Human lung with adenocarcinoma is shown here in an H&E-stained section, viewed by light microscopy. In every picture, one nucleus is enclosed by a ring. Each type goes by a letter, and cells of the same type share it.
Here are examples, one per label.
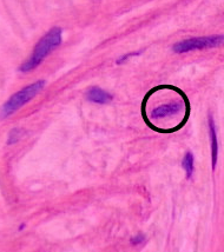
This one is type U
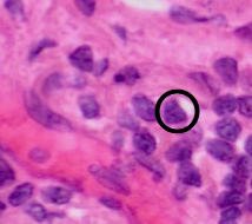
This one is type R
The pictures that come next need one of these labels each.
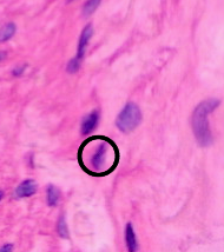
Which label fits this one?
type U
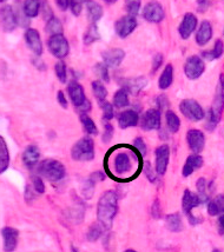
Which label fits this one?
type R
